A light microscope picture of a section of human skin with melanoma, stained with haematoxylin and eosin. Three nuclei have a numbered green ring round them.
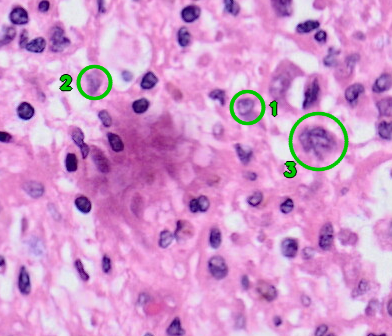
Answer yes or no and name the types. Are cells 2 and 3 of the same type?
No, cell 2 is a macrophage or monocyte, and cell 3 is, by contrast, a melanoma cell.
